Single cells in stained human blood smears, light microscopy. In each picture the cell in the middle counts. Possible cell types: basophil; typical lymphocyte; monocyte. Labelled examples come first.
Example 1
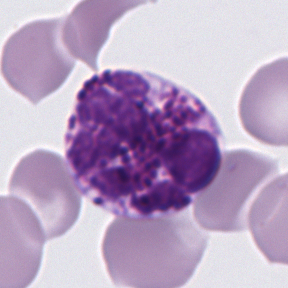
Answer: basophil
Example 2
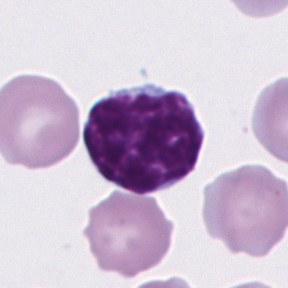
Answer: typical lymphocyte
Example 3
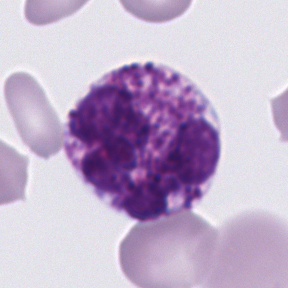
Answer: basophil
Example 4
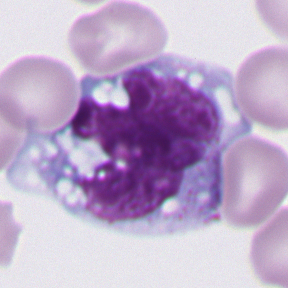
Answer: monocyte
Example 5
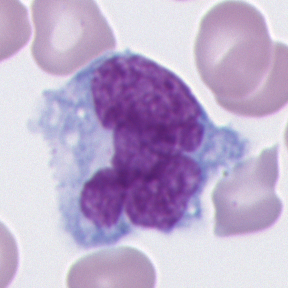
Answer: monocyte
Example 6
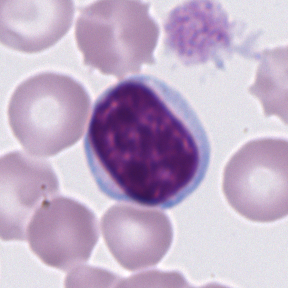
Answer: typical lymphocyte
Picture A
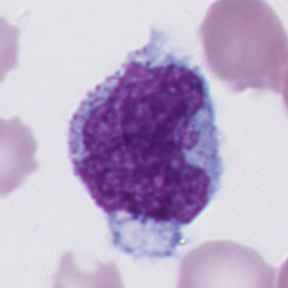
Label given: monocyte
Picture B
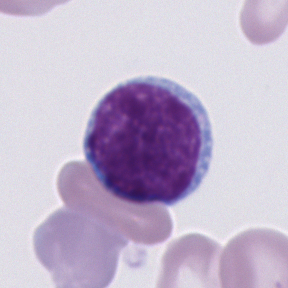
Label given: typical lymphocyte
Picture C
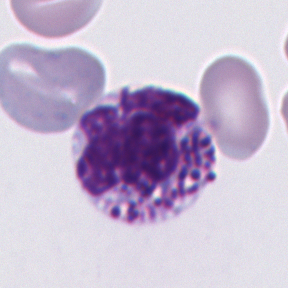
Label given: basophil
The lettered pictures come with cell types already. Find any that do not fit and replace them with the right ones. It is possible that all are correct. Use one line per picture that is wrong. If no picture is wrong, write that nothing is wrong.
Nothing to fix; every label fits.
